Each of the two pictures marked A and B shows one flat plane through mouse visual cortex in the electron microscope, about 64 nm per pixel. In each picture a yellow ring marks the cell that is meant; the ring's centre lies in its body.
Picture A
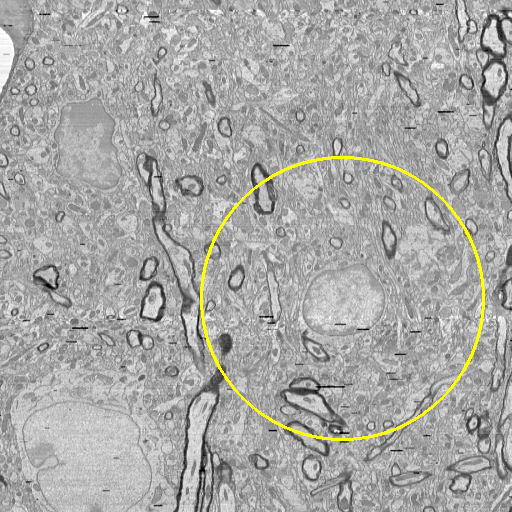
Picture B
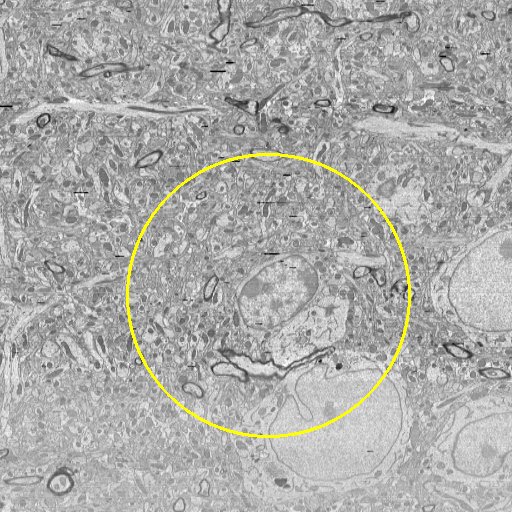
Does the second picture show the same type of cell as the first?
Yes; the cells in both pictures are oligodendrocytes.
